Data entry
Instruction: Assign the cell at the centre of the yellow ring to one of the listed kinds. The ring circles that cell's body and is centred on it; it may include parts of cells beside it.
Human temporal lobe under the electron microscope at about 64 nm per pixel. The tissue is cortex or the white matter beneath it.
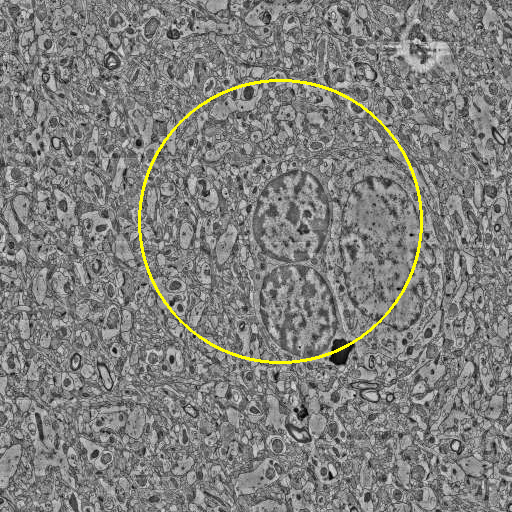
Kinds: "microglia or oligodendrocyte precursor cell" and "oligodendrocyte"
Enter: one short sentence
The centre of the ring falls on an oligodendrocyte.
